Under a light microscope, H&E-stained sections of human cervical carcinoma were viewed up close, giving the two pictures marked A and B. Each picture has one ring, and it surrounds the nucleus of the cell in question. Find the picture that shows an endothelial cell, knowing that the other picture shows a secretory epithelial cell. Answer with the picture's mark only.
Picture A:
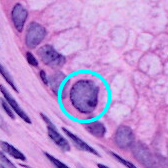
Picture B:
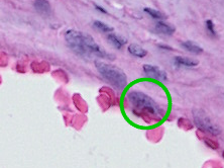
B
